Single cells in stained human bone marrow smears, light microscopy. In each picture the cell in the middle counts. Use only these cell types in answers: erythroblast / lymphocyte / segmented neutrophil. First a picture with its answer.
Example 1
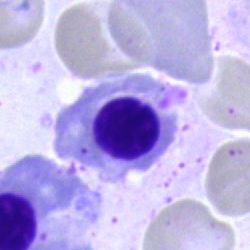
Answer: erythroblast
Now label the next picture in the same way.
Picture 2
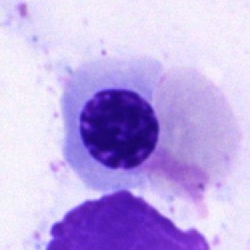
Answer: erythroblast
